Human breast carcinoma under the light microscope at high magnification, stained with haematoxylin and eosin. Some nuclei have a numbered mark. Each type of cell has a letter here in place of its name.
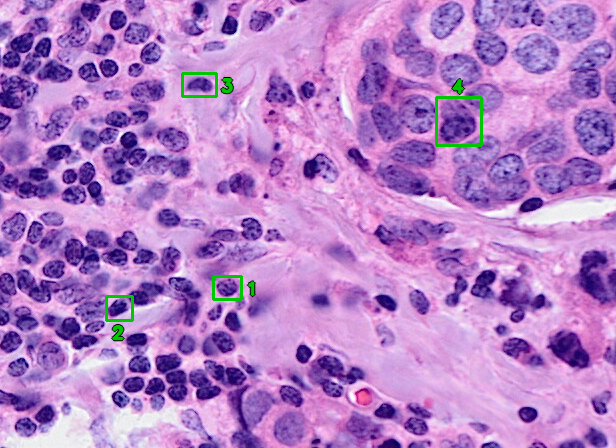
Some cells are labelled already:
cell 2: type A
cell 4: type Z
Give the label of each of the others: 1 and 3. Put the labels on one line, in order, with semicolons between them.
type A; type A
